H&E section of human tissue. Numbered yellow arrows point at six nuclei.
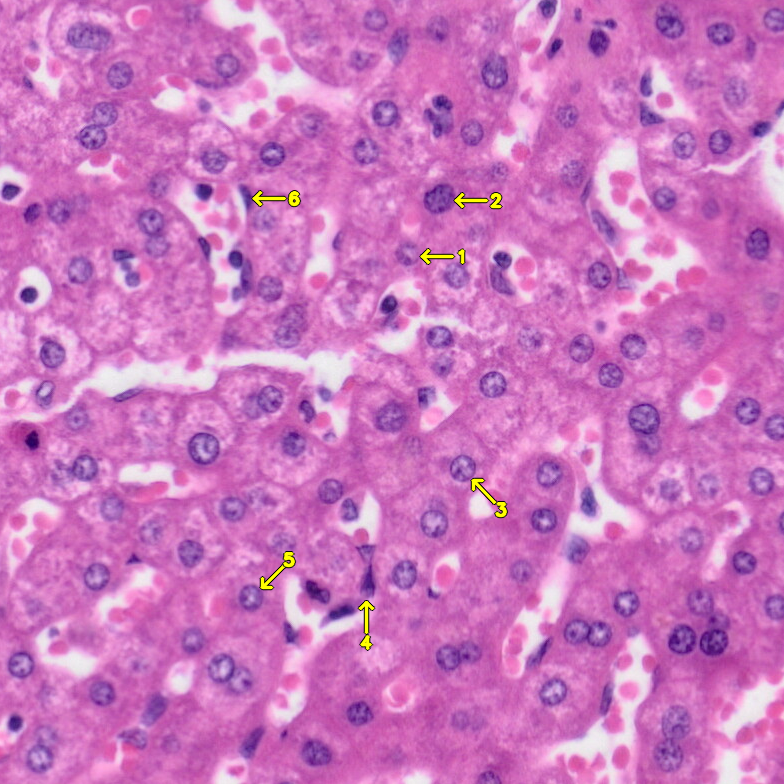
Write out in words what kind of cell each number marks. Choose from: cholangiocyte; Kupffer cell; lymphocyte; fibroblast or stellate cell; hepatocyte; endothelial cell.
Cells 1, 2, 3 and 5 are hepatocytes. Cells 4 and 6 are fibroblasts or stellate cells.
